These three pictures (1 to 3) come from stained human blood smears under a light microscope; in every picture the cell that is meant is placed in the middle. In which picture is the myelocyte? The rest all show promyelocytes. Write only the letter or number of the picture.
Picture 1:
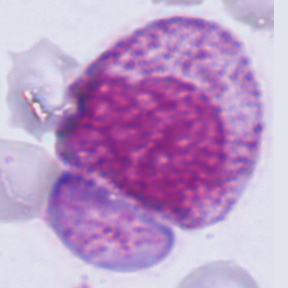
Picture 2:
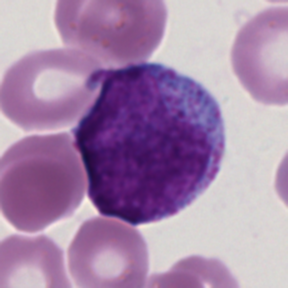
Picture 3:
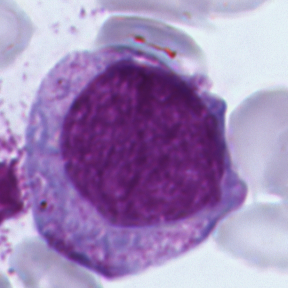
1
